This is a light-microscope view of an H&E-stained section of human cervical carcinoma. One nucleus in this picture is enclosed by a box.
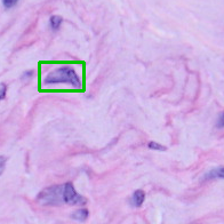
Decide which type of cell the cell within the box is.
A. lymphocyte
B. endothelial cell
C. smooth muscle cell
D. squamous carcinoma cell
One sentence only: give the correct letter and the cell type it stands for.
Option C properly identifies the cell within the box as a smooth muscle cell.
